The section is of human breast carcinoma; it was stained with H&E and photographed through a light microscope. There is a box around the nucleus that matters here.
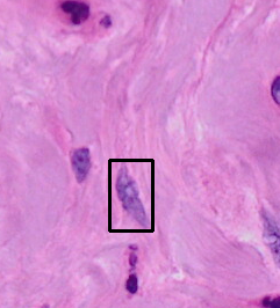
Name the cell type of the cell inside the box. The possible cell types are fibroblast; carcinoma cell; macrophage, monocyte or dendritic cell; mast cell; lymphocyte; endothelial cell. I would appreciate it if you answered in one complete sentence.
Speaking plainly, the cell inside the box is nothing other than a fibroblast.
